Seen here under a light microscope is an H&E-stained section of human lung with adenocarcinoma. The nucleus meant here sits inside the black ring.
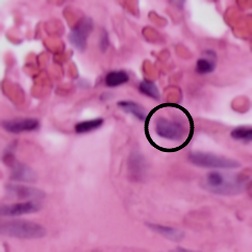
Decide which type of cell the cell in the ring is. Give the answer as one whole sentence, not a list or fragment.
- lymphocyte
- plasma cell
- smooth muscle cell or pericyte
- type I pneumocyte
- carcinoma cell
It is as a type I pneumocyte that the cell in the ring is classified.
